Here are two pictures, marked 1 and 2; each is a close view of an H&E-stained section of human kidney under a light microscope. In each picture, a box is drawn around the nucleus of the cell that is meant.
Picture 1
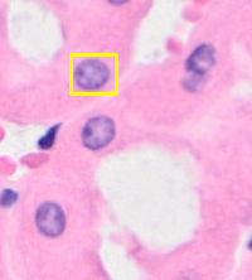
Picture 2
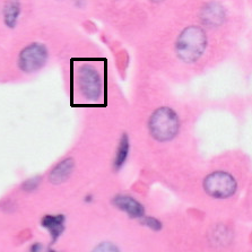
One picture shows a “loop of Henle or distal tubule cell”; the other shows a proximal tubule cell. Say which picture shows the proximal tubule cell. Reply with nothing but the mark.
1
